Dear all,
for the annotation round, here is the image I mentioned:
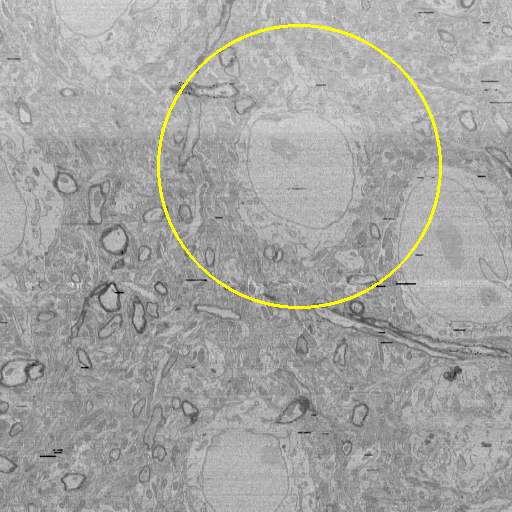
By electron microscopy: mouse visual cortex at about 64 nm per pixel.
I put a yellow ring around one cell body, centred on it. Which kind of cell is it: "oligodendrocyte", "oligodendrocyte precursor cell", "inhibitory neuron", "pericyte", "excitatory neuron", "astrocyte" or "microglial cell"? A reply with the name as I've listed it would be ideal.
excitatory neuron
